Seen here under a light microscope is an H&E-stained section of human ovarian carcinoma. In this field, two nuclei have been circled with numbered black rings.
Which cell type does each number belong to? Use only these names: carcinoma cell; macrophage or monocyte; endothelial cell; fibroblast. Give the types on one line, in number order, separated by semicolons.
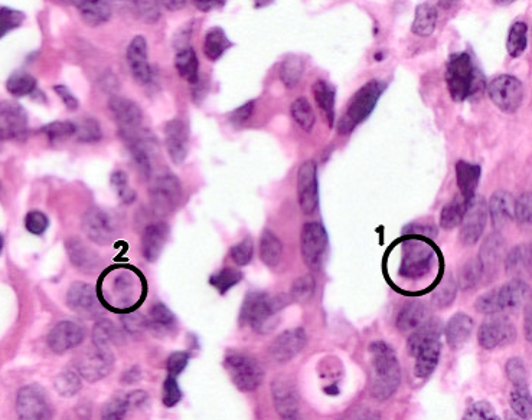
carcinoma cell; macrophage or monocyte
